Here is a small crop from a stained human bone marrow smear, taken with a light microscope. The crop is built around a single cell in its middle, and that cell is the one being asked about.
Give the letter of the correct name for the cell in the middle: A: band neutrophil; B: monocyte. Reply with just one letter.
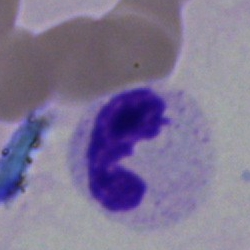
A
